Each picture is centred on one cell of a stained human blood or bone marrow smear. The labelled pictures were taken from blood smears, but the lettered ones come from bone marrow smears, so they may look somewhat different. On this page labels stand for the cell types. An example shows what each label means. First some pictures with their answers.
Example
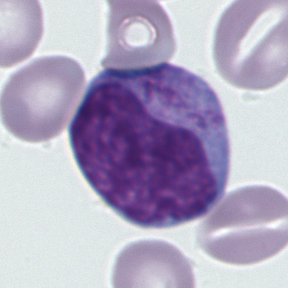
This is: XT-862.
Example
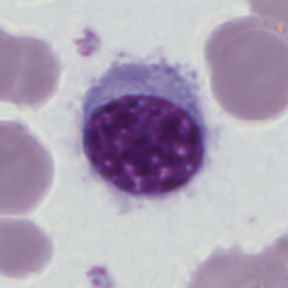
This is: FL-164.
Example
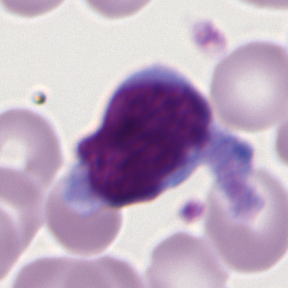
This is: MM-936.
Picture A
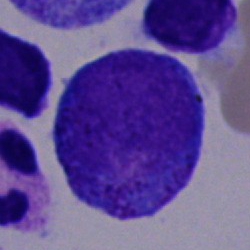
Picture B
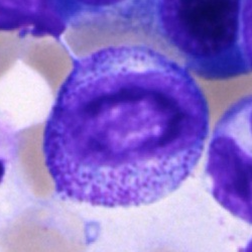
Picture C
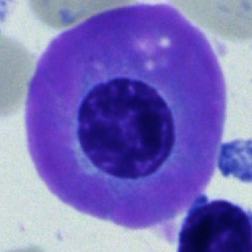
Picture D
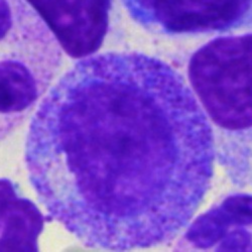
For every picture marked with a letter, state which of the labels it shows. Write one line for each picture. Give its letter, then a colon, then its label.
A: XT-862.
B: XT-862.
C: FL-164.
D: XT-862.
